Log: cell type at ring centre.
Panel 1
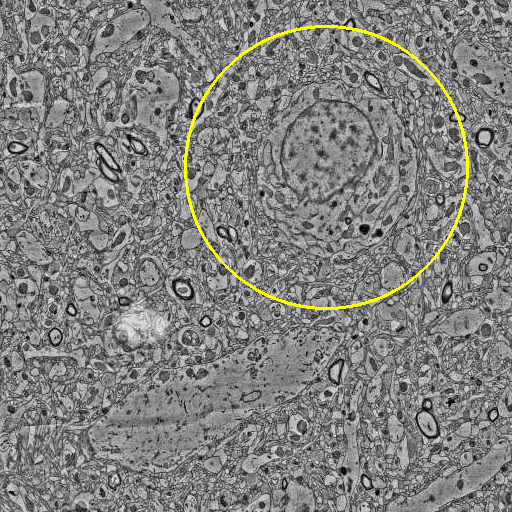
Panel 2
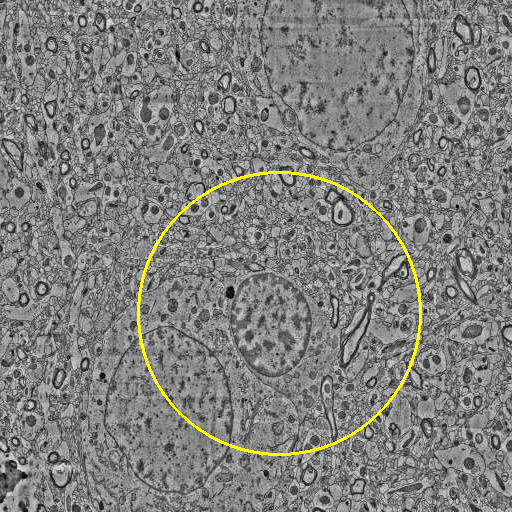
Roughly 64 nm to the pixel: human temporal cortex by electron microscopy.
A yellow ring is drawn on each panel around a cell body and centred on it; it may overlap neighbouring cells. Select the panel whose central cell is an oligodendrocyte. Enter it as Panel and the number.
Panel 2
